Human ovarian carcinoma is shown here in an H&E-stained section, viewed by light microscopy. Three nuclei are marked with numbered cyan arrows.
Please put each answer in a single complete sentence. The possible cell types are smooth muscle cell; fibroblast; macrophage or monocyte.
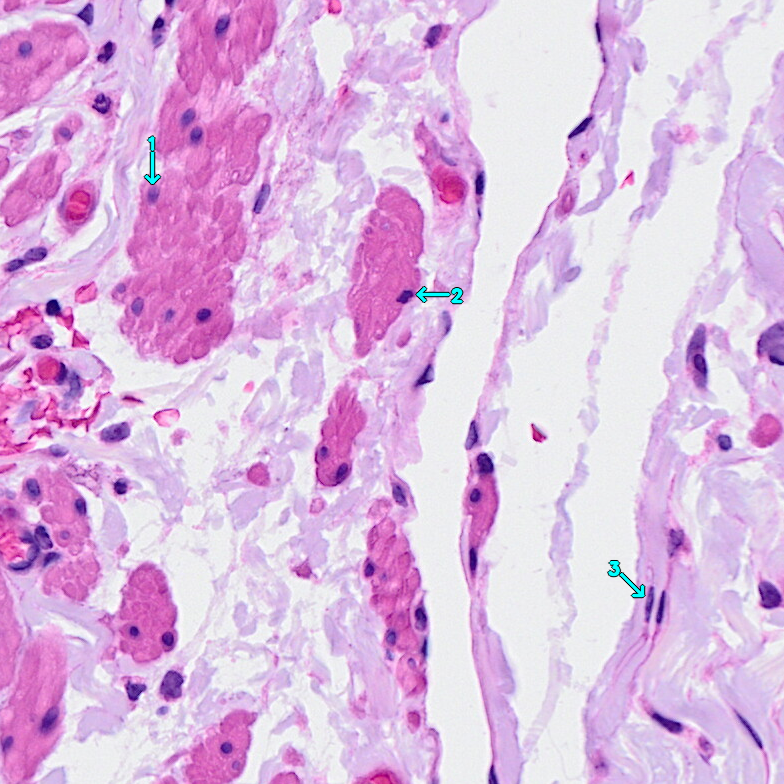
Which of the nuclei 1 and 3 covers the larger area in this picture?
Nucleus 3 covers more area, about 2 times as much as nucleus 1.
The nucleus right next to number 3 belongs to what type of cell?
Number 3 lies closest to the nucleus of a fibroblast.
